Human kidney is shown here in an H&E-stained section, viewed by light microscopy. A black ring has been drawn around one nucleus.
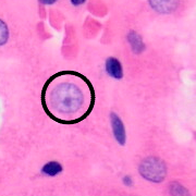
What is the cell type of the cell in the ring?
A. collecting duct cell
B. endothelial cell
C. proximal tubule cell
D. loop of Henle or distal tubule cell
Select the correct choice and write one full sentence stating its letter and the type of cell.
Hey, it is option C: the cell in the ring is a proximal tubule cell.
